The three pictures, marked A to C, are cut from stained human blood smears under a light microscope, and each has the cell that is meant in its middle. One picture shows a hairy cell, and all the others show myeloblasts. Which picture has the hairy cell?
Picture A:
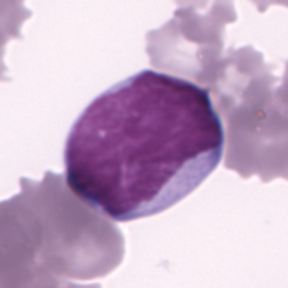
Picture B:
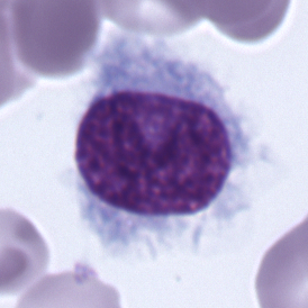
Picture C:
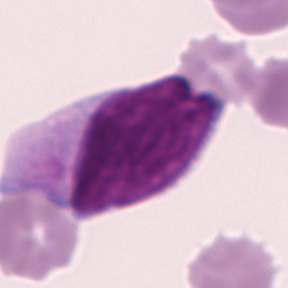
B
